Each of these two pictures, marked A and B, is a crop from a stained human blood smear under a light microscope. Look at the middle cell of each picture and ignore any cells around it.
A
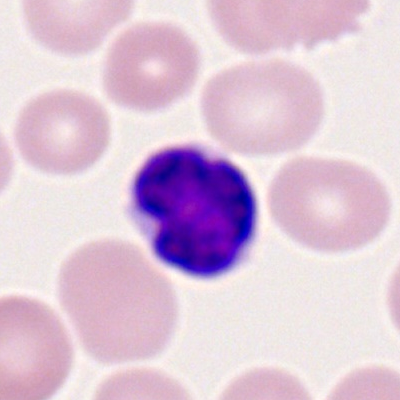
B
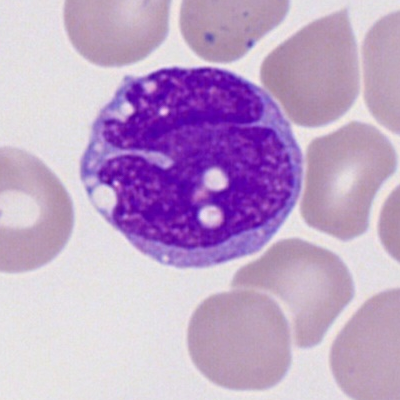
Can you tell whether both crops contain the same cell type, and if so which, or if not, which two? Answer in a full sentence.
No, record crop A as a lymphocyte and crop B as a monocyte.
